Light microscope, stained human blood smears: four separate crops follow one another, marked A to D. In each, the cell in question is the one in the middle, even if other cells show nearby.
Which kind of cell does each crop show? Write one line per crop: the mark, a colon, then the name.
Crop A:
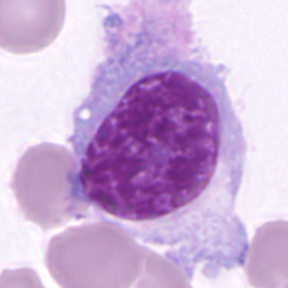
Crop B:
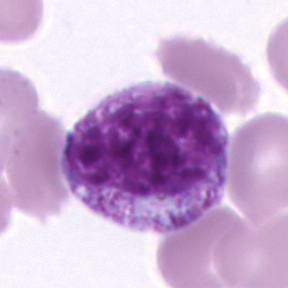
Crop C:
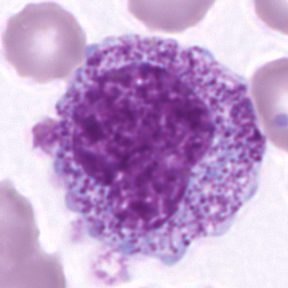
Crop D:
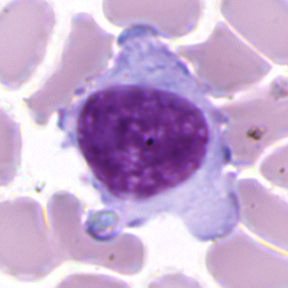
A: plasma cell
B: myelocyte
C: promyelocyte
D: plasma cell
